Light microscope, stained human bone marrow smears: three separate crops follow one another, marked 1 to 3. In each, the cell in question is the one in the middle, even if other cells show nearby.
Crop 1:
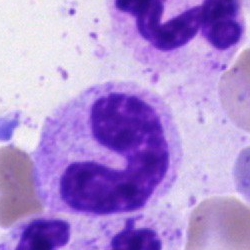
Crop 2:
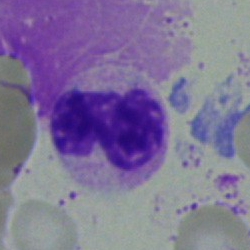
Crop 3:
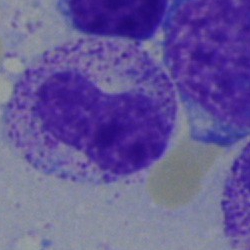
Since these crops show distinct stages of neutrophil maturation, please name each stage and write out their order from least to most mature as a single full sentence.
The progression from least to most mature runs crop 3 (a metamyelocyte), crop 1 (a band neutrophil) and crop 2 (a segmented neutrophil).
